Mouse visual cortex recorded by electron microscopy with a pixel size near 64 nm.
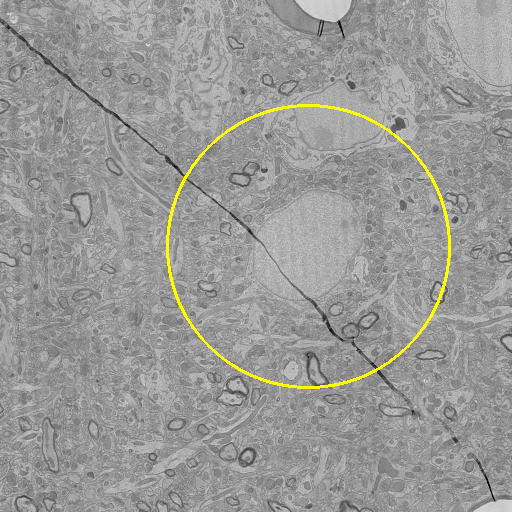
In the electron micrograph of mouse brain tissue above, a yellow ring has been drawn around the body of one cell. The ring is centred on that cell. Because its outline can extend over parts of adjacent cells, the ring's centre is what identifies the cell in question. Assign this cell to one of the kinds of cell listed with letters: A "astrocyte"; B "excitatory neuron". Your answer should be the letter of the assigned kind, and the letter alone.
A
